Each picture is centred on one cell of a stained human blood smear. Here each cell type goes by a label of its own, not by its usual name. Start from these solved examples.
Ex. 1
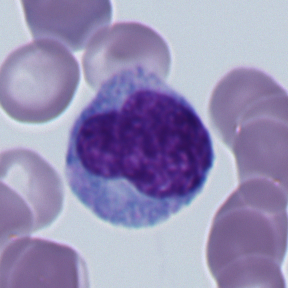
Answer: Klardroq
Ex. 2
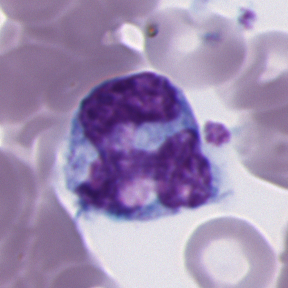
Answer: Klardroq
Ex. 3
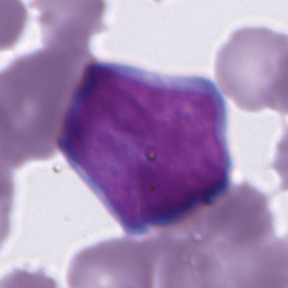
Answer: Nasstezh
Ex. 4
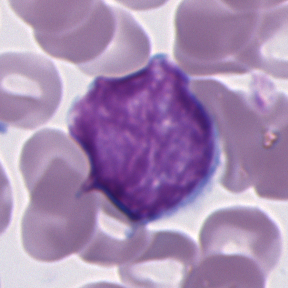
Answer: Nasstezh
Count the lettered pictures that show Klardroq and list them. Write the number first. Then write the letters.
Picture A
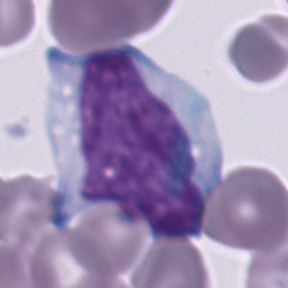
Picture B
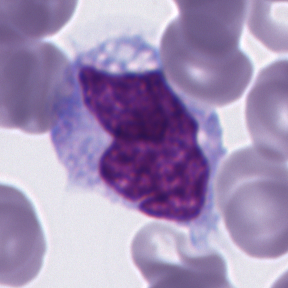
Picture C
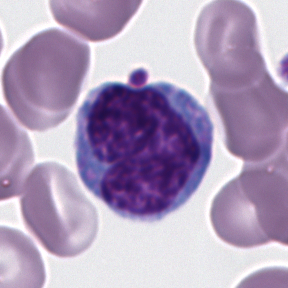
Count: 2 (B, C)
